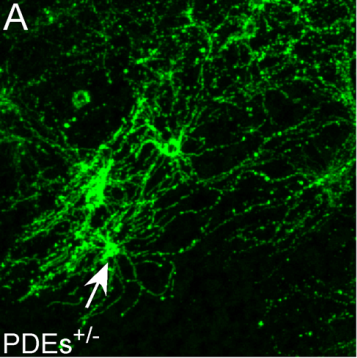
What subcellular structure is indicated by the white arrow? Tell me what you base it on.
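The arrow points to a small bright rounded swelling. Many fine thin threads radiate out from this swelling. On this evidence: dendritic knobs.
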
